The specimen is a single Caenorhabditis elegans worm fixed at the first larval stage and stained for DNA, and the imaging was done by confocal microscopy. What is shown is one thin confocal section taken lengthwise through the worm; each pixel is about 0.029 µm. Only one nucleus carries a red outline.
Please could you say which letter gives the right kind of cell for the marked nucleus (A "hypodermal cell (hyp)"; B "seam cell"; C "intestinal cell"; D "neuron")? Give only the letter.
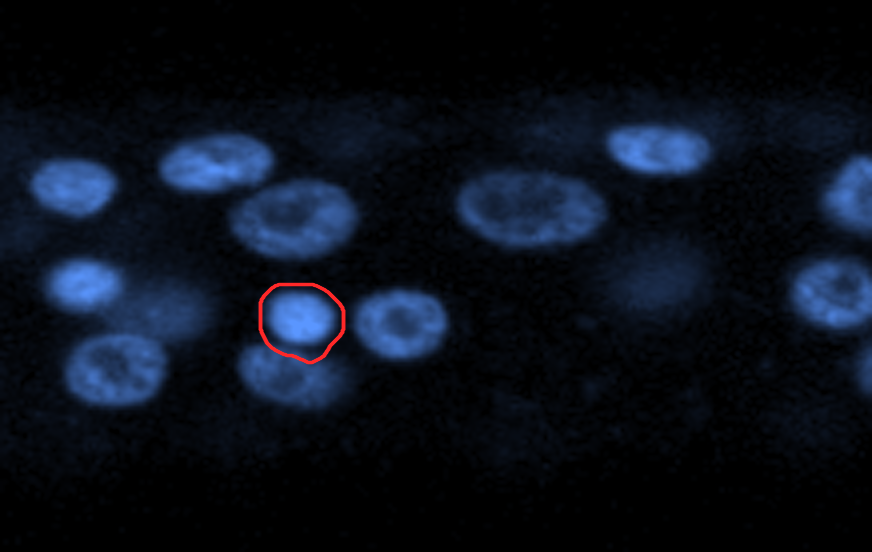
D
